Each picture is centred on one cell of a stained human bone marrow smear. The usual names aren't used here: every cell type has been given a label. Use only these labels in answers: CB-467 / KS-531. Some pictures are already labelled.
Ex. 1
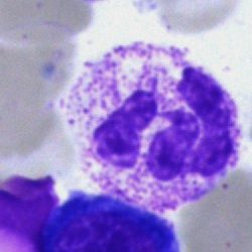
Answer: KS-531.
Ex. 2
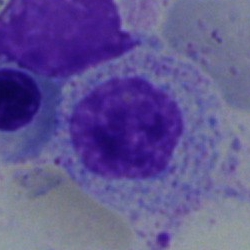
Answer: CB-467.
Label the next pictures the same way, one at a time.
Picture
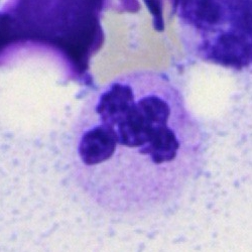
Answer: KS-531.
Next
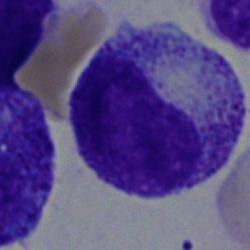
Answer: CB-467.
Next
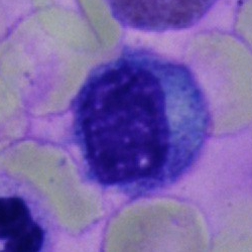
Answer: CB-467.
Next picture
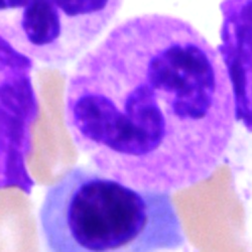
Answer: KS-531.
